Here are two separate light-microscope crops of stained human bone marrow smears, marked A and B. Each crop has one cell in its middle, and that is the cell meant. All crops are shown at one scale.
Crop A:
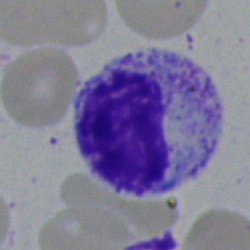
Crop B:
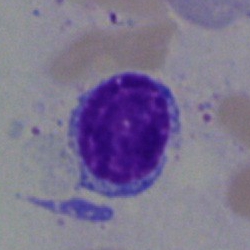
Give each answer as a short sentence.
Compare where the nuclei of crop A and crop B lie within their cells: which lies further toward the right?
It is the nucleus in crop B that lies further toward the right of its cell.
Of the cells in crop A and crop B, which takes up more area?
Larger is the cell in crop A, at roughly 1.5 times the area of the other.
